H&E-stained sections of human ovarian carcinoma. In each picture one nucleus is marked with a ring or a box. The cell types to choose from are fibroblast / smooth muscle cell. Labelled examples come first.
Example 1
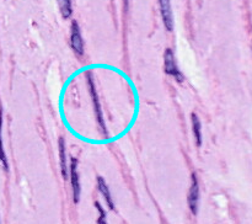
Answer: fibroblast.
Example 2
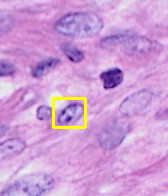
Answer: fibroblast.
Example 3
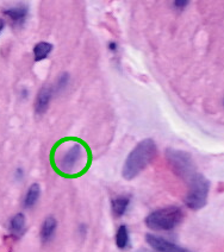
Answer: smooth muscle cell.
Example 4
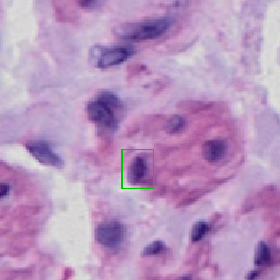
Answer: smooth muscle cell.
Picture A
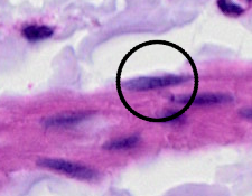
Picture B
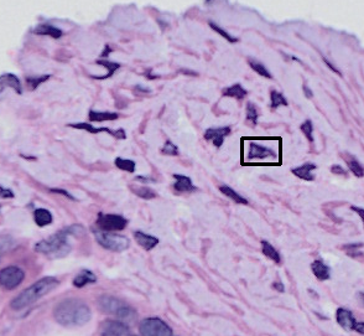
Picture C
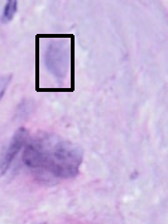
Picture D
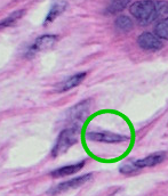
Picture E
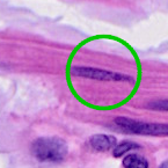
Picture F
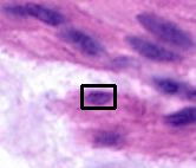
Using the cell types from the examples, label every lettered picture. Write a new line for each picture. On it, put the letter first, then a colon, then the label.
A: smooth muscle cell.
B: fibroblast.
C: fibroblast.
D: fibroblast.
E: smooth muscle cell.
F: smooth muscle cell.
